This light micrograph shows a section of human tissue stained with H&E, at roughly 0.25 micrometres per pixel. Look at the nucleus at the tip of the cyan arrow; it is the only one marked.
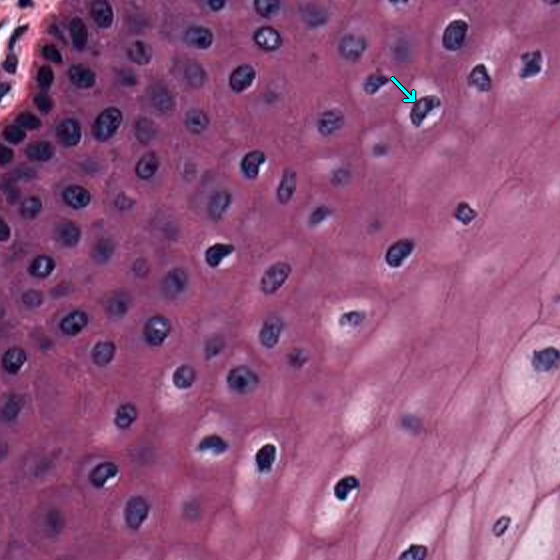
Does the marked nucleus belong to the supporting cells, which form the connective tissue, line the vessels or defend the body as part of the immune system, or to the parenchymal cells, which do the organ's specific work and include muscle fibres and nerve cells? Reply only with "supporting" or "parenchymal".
parenchymal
